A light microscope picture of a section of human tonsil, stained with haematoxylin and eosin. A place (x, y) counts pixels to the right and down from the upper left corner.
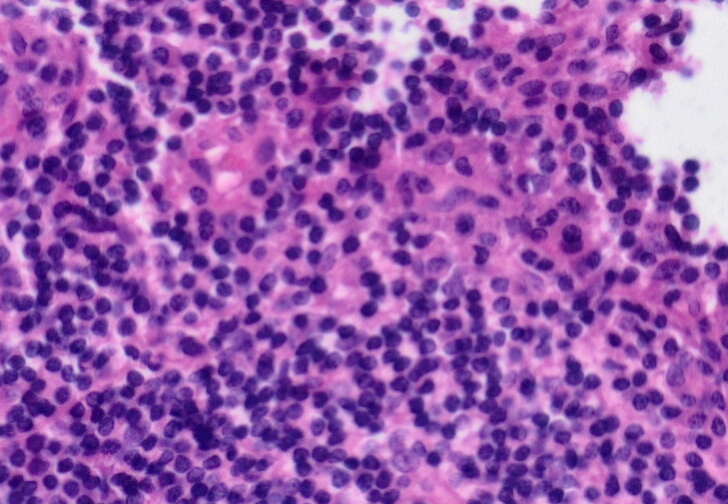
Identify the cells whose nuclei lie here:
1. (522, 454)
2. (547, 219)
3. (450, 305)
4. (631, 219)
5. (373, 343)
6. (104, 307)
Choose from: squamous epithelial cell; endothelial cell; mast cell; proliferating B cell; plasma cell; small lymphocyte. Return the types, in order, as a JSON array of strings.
["small lymphocyte", "plasma cell", "small lymphocyte", "plasma cell", "small lymphocyte", "small lymphocyte"]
